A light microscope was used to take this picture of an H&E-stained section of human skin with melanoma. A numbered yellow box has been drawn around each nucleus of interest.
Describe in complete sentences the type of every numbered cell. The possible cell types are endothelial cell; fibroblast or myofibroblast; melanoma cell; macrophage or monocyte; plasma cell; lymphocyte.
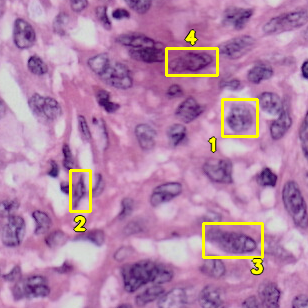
Cells 1, 3 and 4 are melanoma cells. Cell 2 is an endothelial cell.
